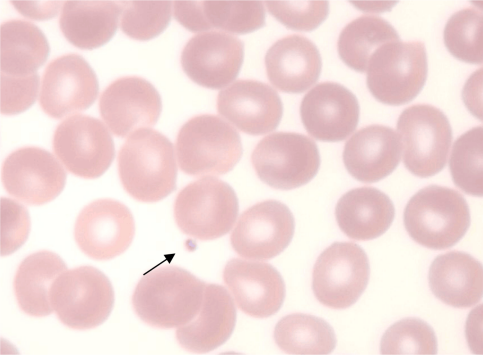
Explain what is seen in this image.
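This is a peripheral blood smear in which the field is filled almost entirely with red blood cells. The red cells are round, pink, anucleate discs, each with a paler centre where the cell is thinnest. They lie close together, touching or slightly overlapping in places. Among them, the only other element is a single tiny purple body, far smaller than a red cell, which is a small platelet. Apart from this one, no platelets can be found in the field, which points to how scarce they are.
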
